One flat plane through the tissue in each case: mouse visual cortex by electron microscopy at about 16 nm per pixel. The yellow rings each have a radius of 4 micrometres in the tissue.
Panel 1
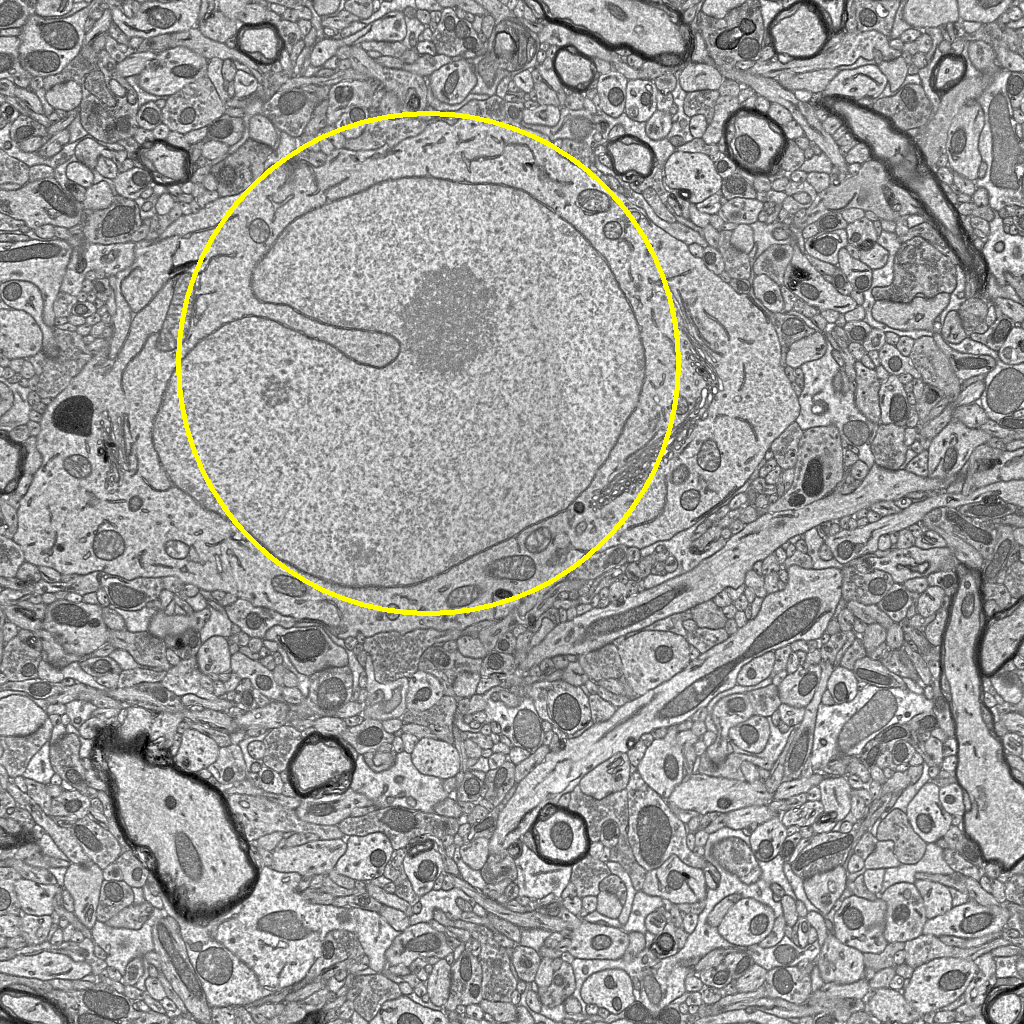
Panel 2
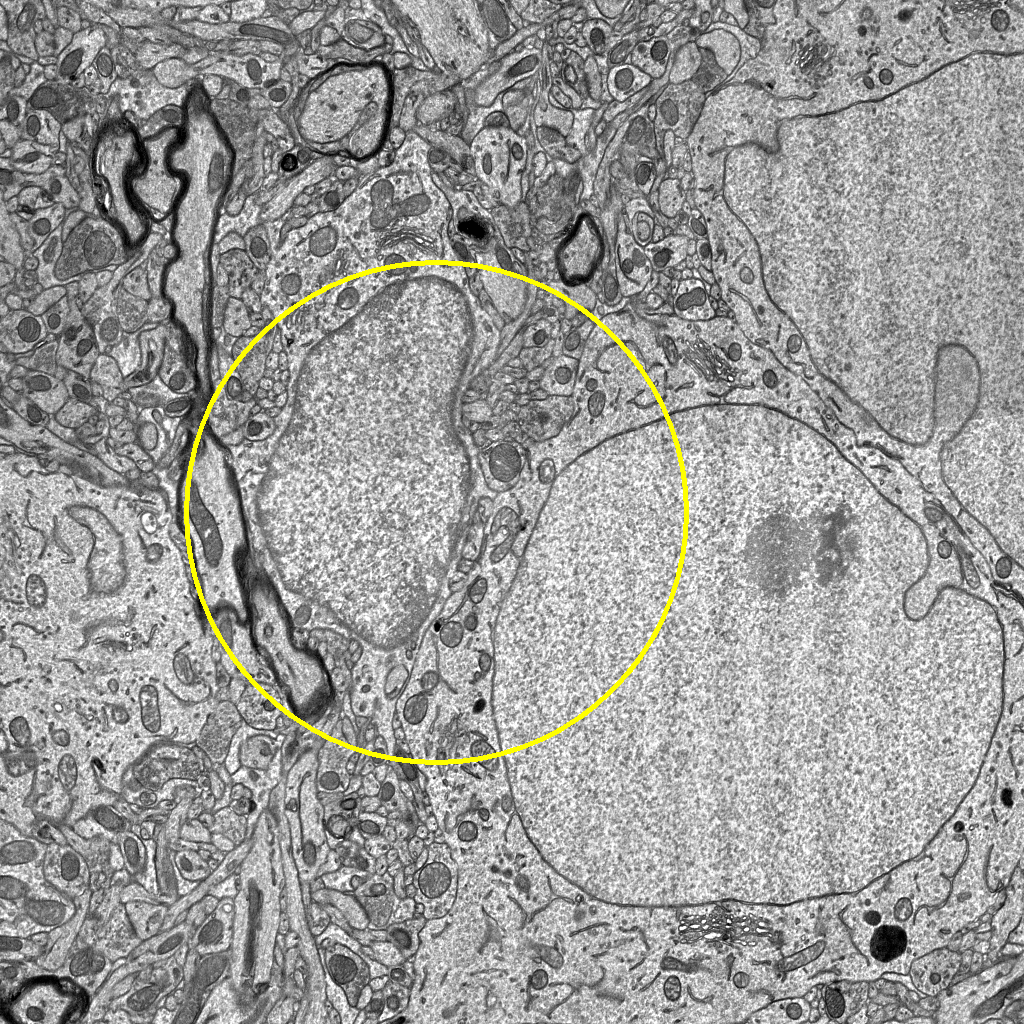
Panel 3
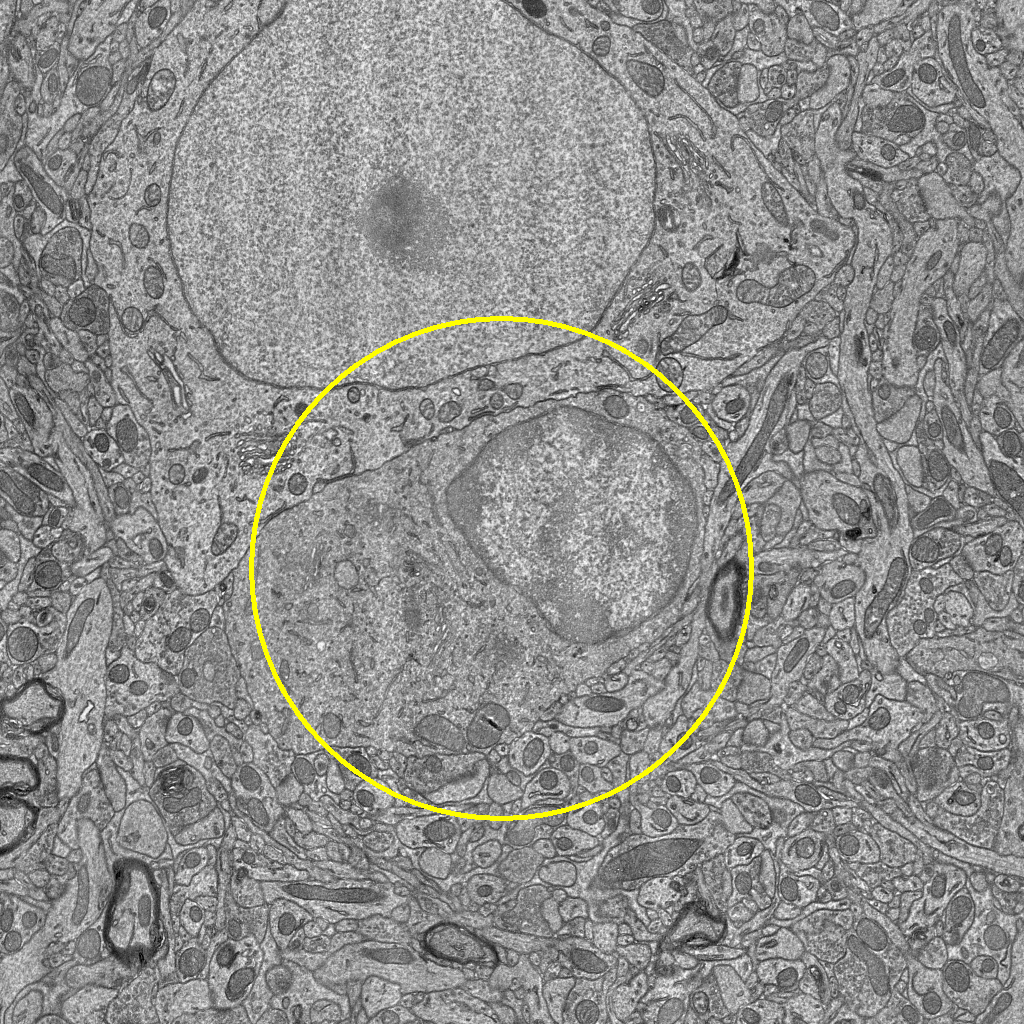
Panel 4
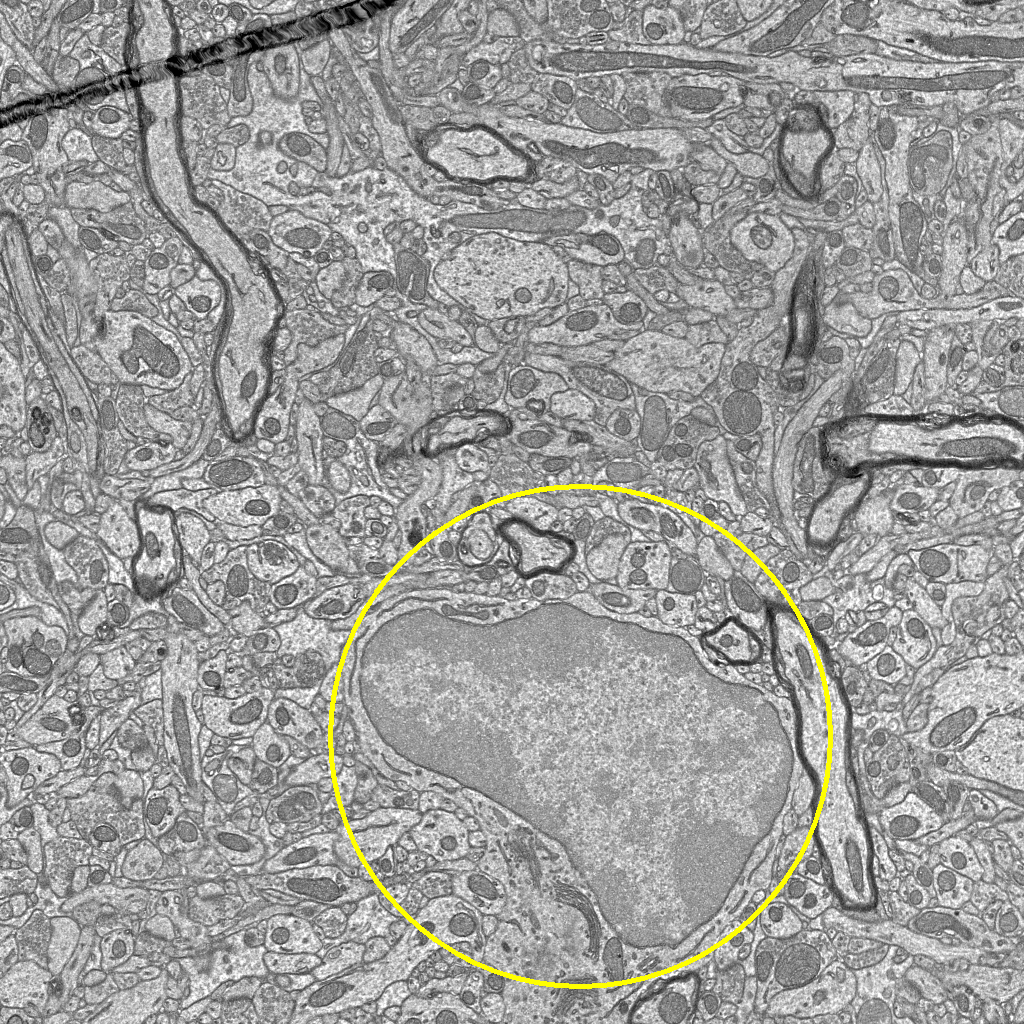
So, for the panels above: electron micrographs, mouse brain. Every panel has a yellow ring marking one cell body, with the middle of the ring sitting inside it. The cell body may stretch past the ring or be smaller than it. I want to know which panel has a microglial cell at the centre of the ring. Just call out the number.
4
